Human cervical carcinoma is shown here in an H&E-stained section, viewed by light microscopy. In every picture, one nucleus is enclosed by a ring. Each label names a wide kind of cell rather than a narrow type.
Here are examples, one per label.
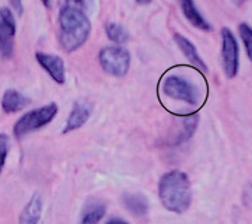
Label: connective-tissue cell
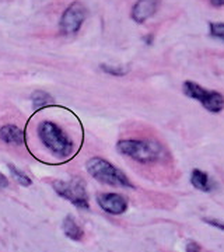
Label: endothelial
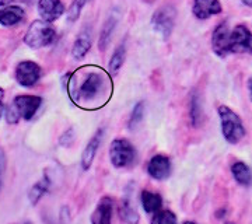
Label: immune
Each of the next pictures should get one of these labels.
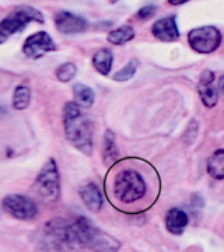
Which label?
immune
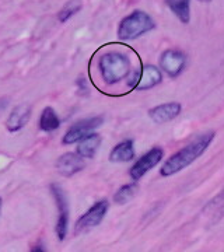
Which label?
endothelial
